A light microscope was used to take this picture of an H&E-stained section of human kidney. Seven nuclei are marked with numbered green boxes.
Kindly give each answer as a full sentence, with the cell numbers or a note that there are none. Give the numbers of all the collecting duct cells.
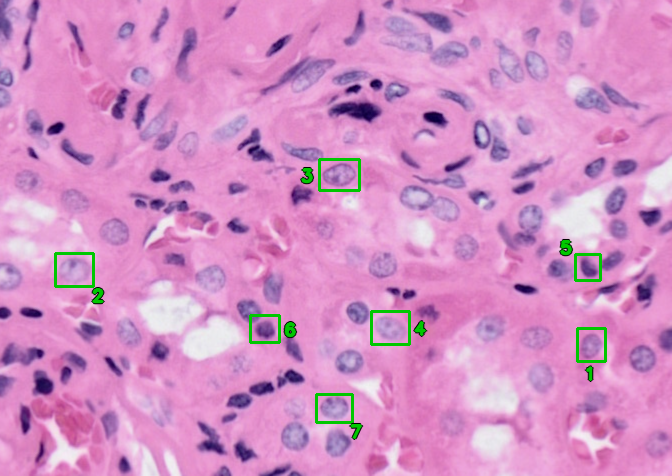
The cells whose numbers are 4 and 5 are collecting duct cells.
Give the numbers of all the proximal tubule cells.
Identified as proximal tubule cells are the cells numbered 1, 2 and 3.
